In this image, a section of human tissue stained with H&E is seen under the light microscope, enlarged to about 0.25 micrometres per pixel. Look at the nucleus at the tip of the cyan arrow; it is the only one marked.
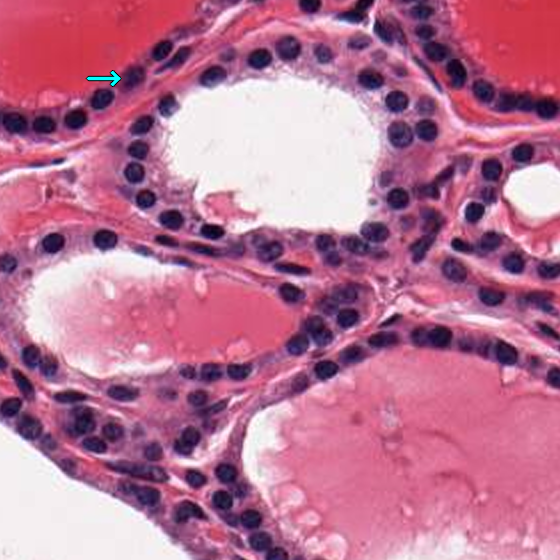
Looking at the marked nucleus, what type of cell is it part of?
thyroid follicular cell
